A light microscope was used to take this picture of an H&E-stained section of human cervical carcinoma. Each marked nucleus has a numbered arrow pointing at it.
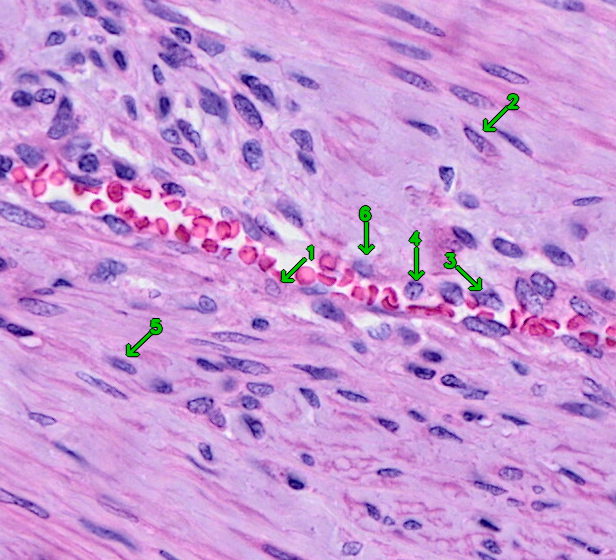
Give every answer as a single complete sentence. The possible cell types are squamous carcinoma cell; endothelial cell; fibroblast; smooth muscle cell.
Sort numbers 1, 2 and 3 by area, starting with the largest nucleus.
By area, largest first, they run 3, 2, 1.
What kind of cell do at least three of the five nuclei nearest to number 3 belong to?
The majority of the five nuclei closest to number 3 belong to endothelial cells.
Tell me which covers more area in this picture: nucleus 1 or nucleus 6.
It is nucleus 6, which covers about 2 times the area of nucleus 1.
